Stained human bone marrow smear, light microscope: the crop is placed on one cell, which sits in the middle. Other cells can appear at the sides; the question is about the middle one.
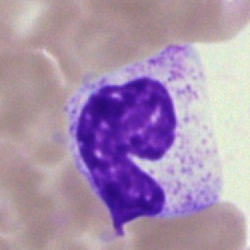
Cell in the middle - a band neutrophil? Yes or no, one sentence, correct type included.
Yes, the crop is centred on a band neutrophil.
